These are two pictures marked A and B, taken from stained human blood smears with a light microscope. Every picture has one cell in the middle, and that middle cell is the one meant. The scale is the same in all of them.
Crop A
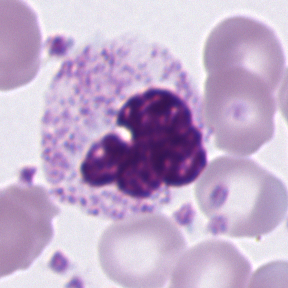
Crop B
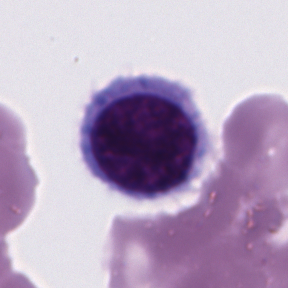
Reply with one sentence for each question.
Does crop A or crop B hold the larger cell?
Crop A holds the larger cell; it covers about 2 times the area of the cell in crop B.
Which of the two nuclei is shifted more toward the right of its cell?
In crop A the nucleus is shifted more toward the right.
